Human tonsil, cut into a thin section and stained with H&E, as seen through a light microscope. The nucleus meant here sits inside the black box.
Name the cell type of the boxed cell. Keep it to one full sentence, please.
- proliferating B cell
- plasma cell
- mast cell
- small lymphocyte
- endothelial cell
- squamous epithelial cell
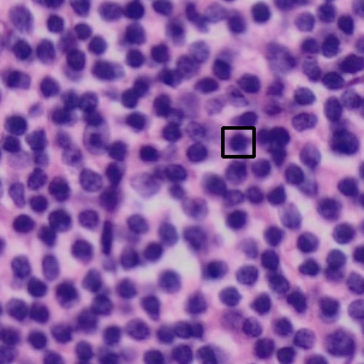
In the tissue at hand, the boxed cell is a small lymphocyte.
